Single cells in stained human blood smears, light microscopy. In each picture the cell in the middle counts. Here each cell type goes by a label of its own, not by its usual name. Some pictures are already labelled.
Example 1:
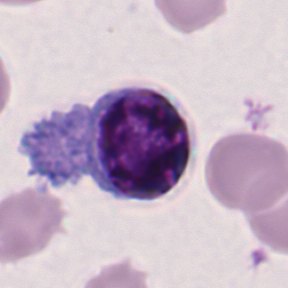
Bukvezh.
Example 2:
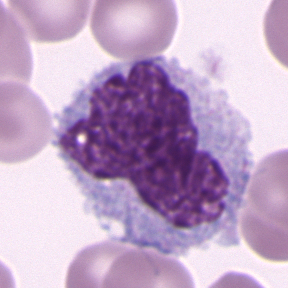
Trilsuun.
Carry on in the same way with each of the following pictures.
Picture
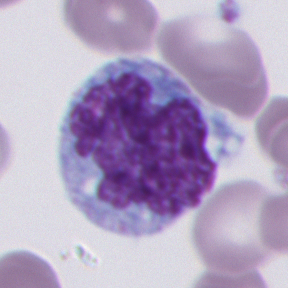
Trilsuun.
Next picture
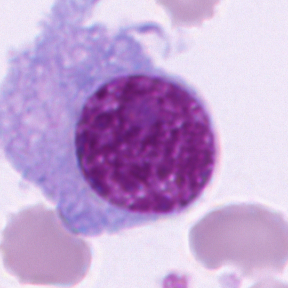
Bukvezh.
